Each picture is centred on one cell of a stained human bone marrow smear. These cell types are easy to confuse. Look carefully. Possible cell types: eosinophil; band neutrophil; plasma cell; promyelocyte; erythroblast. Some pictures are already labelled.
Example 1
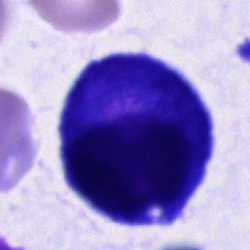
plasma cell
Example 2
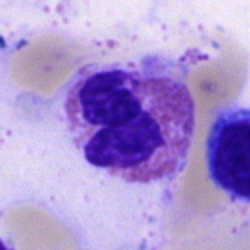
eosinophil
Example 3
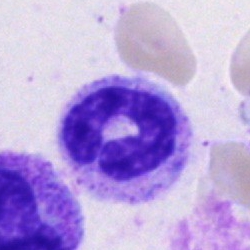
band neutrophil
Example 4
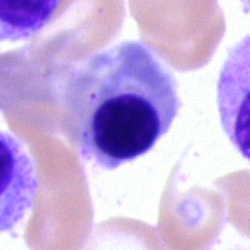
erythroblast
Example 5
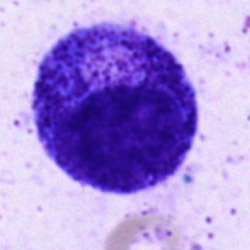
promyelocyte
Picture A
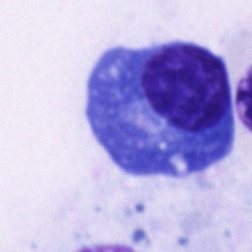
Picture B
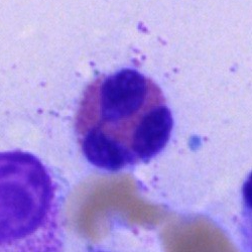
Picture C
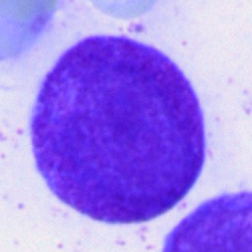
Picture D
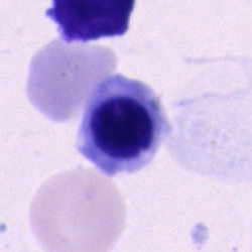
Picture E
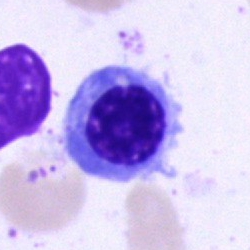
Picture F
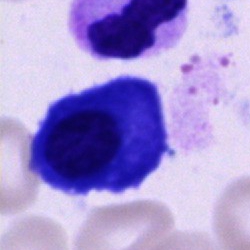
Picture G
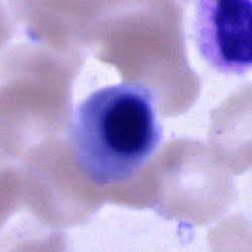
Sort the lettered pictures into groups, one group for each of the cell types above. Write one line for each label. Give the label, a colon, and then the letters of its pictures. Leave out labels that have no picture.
eosinophil: B
plasma cell: A, F
promyelocyte: C
erythroblast: D, E, G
